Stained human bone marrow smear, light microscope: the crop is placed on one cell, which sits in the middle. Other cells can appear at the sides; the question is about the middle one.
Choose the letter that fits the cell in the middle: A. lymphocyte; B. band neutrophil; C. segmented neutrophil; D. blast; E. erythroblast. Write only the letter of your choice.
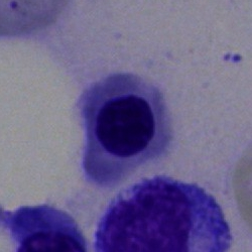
E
